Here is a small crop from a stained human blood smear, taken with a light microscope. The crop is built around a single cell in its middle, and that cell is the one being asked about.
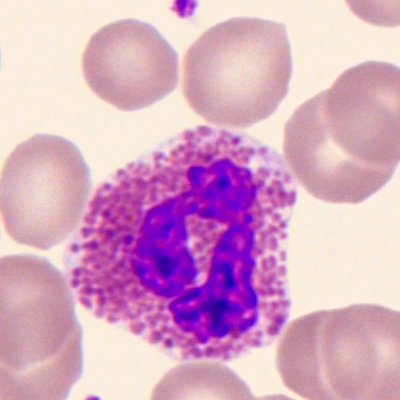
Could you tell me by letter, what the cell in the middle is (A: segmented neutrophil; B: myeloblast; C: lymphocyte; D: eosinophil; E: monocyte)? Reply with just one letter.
D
